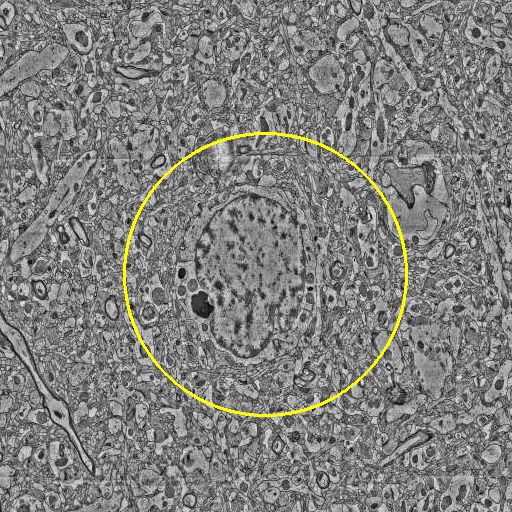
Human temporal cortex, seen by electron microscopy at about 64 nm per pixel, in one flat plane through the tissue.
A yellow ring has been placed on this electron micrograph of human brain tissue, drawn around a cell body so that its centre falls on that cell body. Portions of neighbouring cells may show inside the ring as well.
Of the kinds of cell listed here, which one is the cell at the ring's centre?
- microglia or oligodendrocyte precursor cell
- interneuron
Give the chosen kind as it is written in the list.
interneuron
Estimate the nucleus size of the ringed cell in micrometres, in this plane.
The nucleus works out at approximately 10 by 7 micrometres in this plane.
